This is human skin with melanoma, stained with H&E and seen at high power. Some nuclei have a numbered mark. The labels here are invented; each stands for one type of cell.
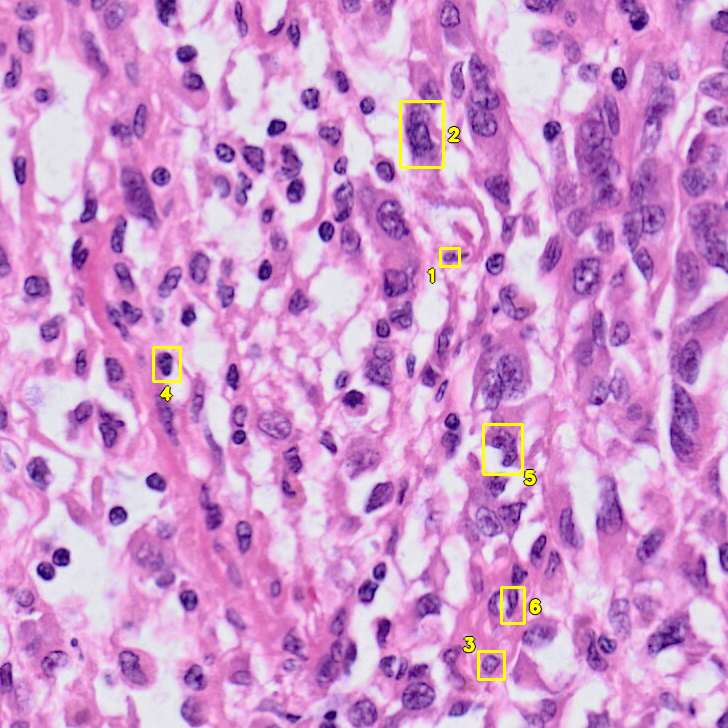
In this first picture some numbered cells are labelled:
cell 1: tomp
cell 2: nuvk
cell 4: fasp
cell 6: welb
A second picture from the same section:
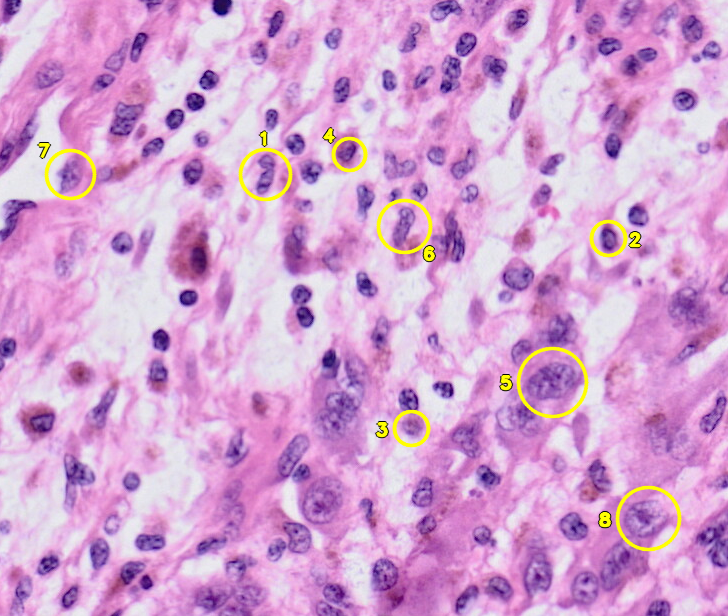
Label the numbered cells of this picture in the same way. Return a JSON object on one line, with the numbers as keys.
{"1": "tomp", "2": "tomp", "3": "tomp", "4": "tomp", "5": "nuvk", "6": "tomp", "7": "welb", "8": "nuvk"}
